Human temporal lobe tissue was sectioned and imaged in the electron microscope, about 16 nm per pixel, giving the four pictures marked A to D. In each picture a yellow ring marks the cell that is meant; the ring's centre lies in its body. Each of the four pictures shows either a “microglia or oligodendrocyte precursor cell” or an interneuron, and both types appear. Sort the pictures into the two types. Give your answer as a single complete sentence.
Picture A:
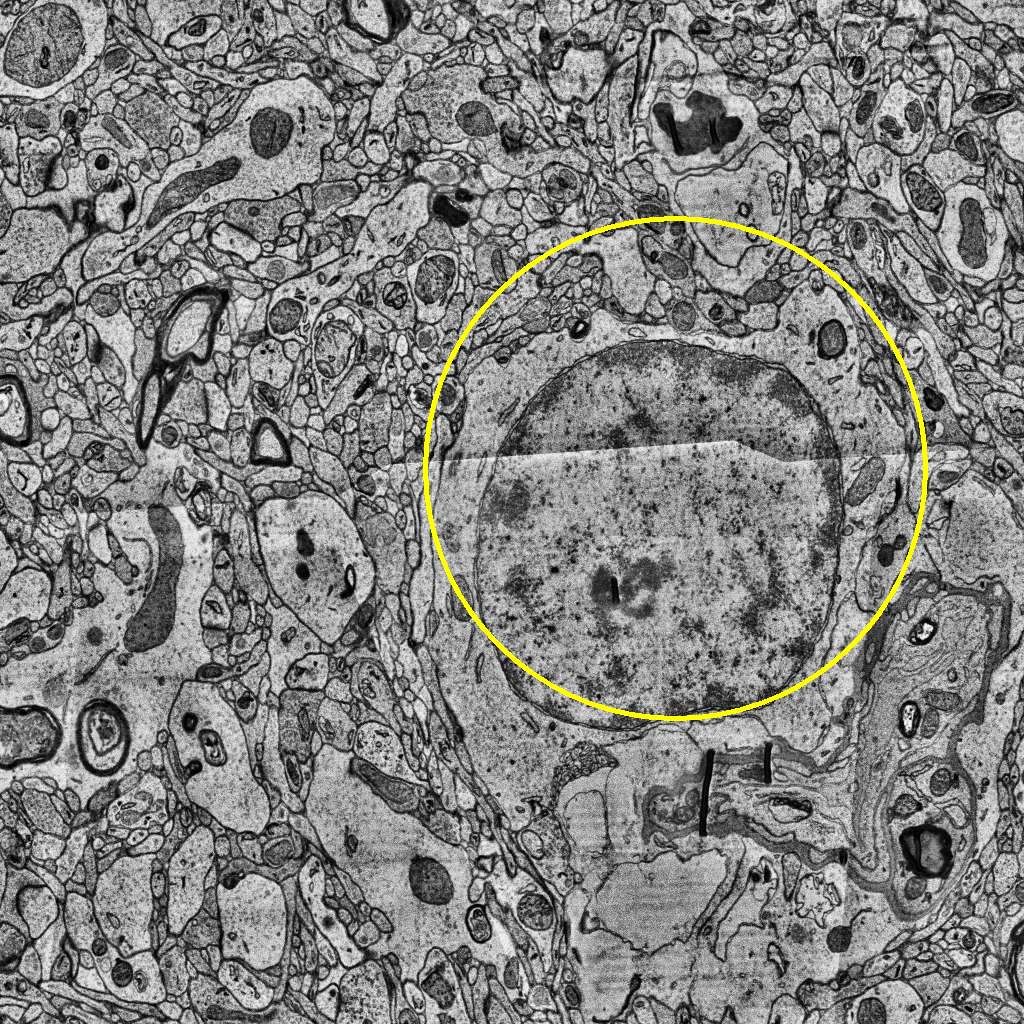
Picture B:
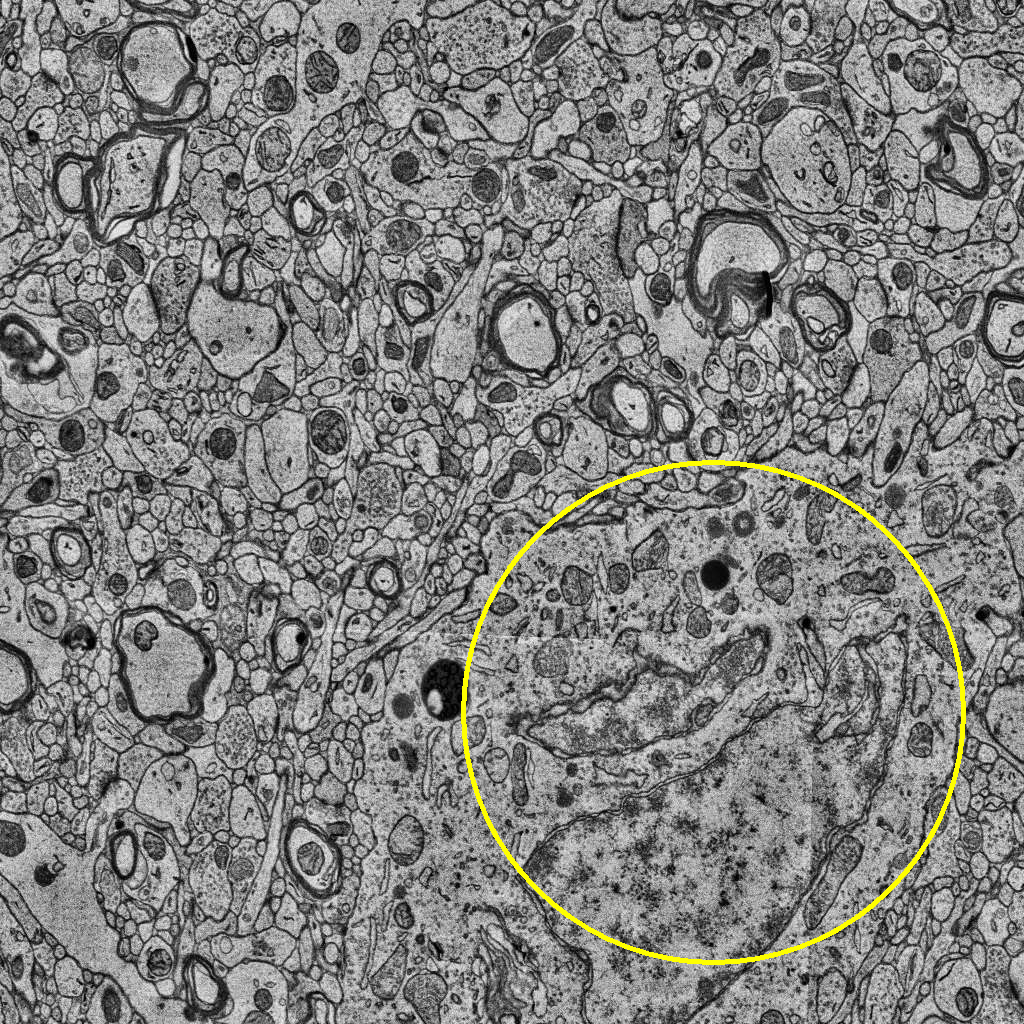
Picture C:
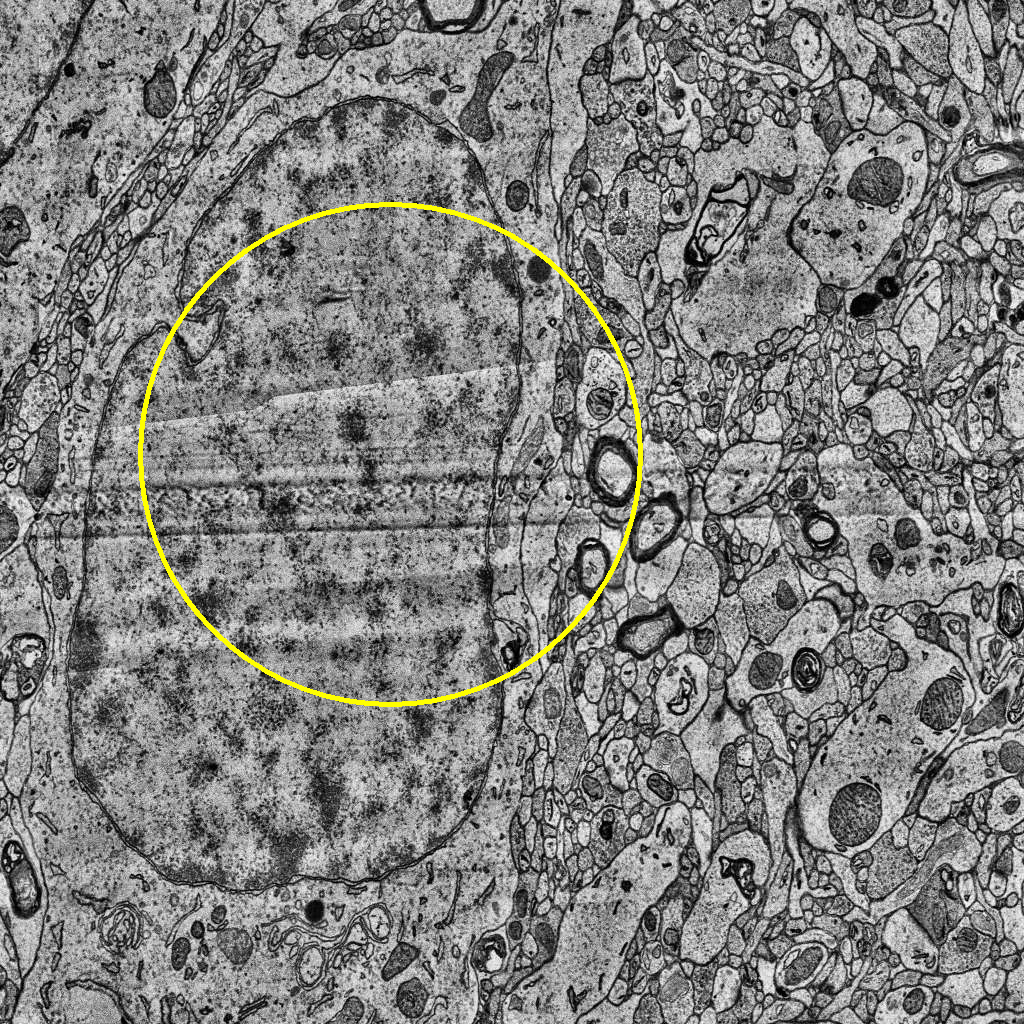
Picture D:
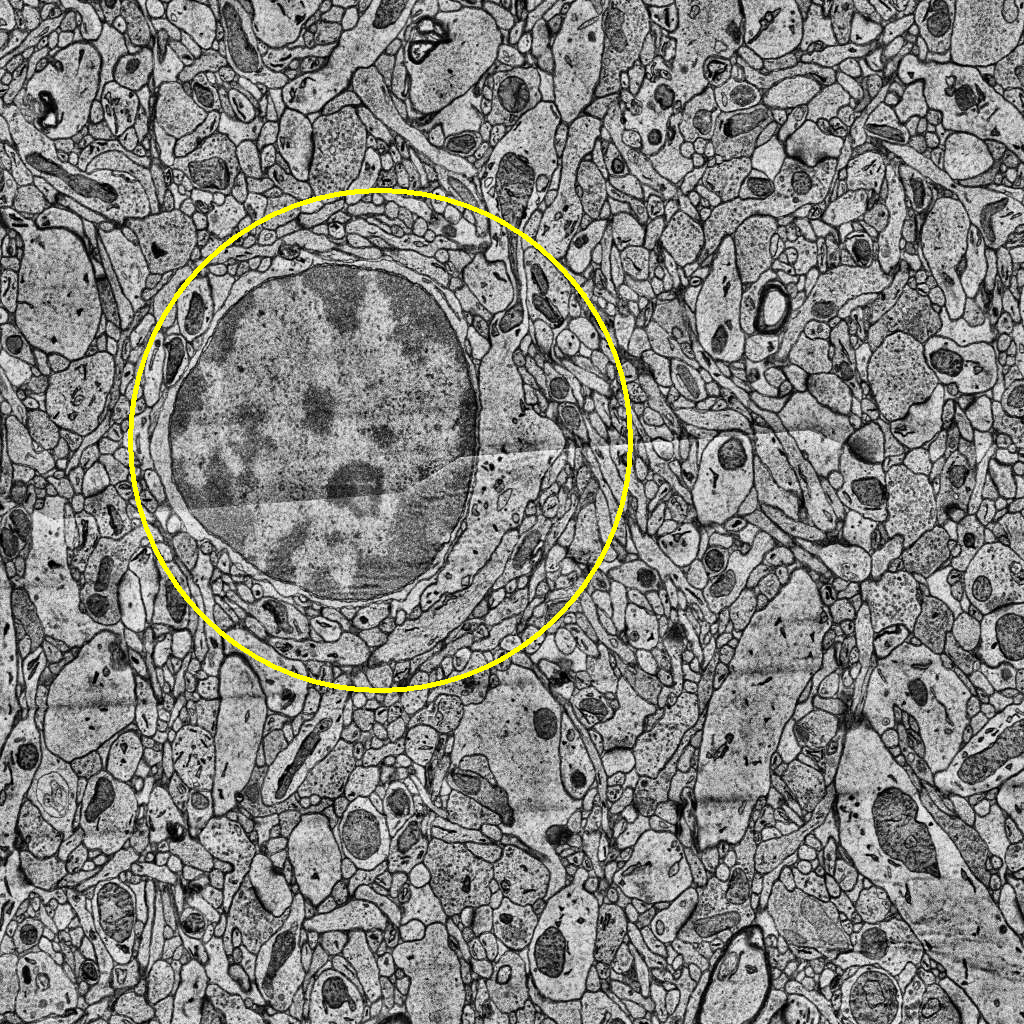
Pictures A and D show “microglia or oligodendrocyte precursor cells”, and pictures B and C show interneurons.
